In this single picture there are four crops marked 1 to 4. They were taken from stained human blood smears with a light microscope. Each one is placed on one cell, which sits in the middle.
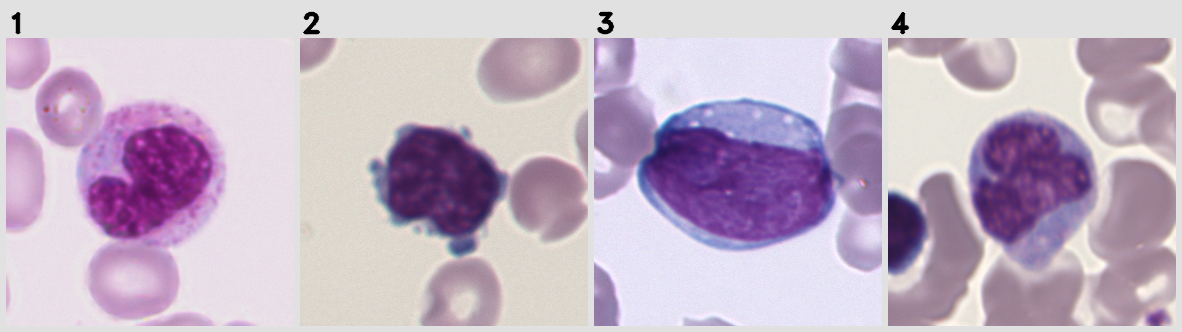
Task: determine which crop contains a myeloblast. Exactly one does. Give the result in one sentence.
Crop 3 is the one in this set that shows a myeloblast.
